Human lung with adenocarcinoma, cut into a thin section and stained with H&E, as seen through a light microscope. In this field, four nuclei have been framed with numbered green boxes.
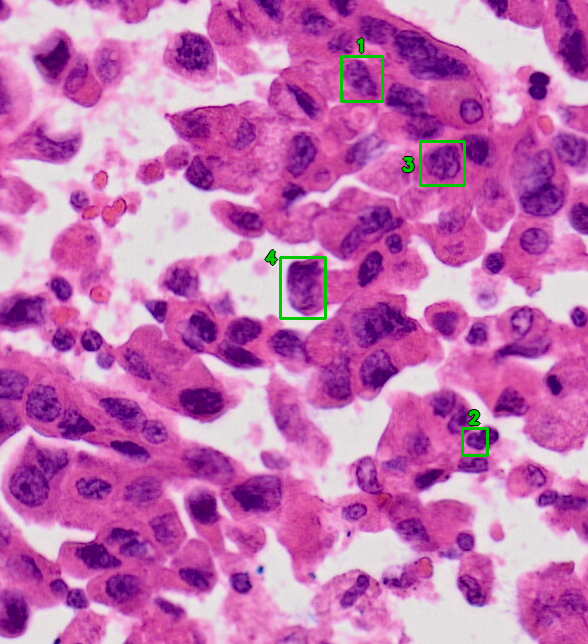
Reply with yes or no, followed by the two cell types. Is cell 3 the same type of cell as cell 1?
Yes, note that cells 3 and 1 are both carcinoma cells.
